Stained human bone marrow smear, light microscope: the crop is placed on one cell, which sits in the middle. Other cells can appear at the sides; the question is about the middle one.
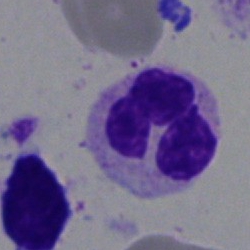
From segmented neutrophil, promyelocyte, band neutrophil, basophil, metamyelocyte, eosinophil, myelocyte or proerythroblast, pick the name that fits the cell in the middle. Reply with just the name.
segmented neutrophil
